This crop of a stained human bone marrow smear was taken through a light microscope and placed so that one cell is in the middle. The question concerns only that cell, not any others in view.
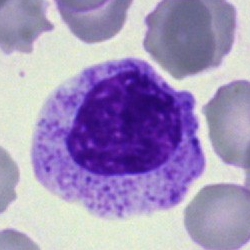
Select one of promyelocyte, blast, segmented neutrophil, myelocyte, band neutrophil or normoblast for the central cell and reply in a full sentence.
The cell in the middle of this crop is a myelocyte.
